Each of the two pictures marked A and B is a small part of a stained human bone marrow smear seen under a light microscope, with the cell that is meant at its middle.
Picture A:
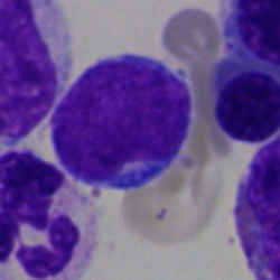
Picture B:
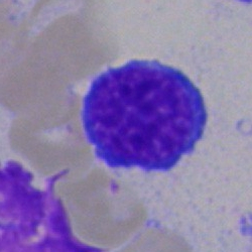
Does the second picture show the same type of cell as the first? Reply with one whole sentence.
Yes, both are lymphocytes.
